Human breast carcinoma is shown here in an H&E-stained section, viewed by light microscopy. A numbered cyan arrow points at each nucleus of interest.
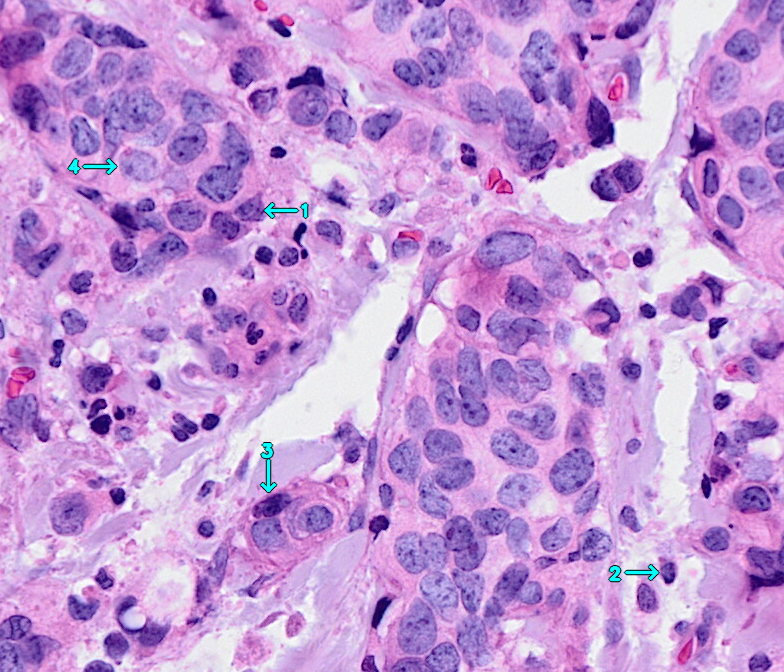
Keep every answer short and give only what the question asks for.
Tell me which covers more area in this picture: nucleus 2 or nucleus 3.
3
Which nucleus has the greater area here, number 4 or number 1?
4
